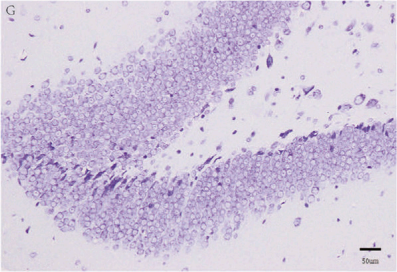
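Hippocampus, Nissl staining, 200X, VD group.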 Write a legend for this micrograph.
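Most cell bodies are round with pale nuclei and a thin violet rim of cytoplasm. Along the inner edge of the lower band and in the zone between the bands lie many cells that are darker, smaller and more angular than their neighbours. The arrangement of cells at the margins of the bands looks less regular. Scattered dark cells also lie in the pale neuropil around the bands.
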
